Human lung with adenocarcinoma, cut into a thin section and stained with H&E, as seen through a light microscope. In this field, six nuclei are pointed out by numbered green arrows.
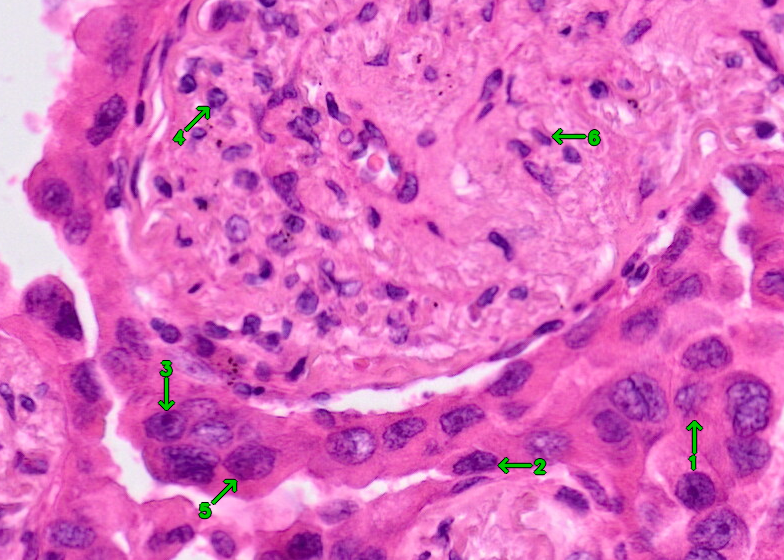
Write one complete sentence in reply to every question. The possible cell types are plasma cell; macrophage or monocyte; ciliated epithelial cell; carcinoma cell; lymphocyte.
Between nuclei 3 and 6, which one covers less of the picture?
Nucleus 6 covers less area, with nucleus 3 about 4 times as large.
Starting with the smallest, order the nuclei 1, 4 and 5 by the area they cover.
From smallest to largest, the order is 4, 1, 5.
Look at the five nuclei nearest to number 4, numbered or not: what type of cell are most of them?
Of the five nuclei nearest to number 4, most belong to lymphocytes.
